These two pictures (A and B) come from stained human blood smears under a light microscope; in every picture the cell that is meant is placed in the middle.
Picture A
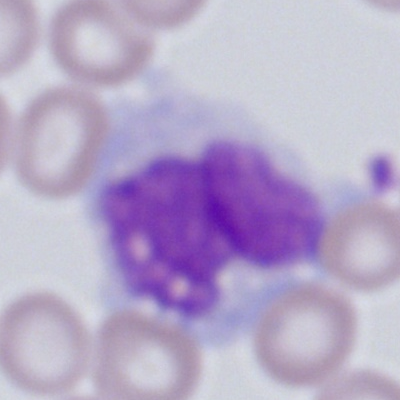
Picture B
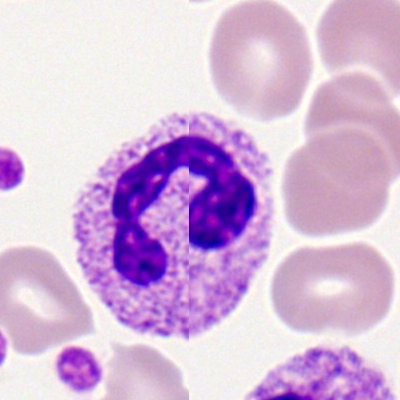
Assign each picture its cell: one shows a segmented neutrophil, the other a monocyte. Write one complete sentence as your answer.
Picture A is of a monocyte, and picture B is of a segmented neutrophil.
